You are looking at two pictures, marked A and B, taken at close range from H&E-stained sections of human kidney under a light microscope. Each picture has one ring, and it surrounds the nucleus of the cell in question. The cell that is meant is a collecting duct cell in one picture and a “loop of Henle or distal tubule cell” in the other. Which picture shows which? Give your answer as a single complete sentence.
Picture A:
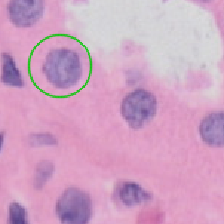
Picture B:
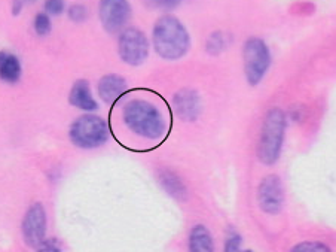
Picture B shows a collecting duct cell, while picture A shows a “loop of Henle or distal tubule cell”.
